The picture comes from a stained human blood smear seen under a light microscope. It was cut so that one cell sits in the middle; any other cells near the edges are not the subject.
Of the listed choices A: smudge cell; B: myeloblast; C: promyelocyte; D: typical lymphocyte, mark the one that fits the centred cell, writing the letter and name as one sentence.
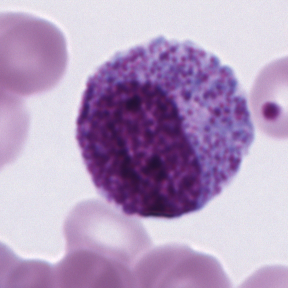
The cell at the heart of the crop is a promyelocyte, so choose option C.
